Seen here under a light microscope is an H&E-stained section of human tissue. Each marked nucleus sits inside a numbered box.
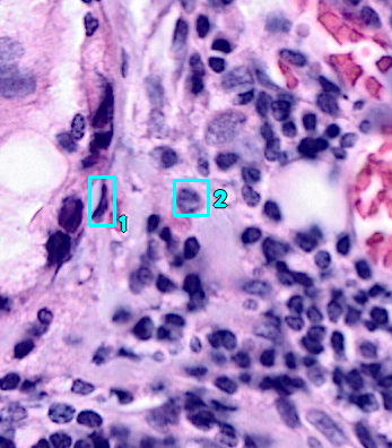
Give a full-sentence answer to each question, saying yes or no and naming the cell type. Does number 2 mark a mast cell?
Yes, within this section, cell number 2 is a mast cell.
